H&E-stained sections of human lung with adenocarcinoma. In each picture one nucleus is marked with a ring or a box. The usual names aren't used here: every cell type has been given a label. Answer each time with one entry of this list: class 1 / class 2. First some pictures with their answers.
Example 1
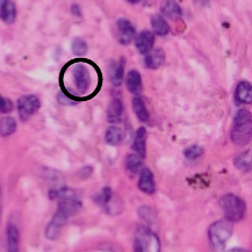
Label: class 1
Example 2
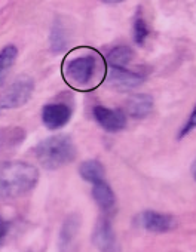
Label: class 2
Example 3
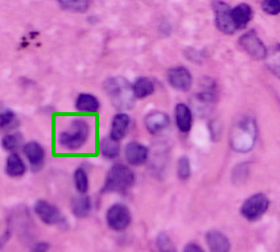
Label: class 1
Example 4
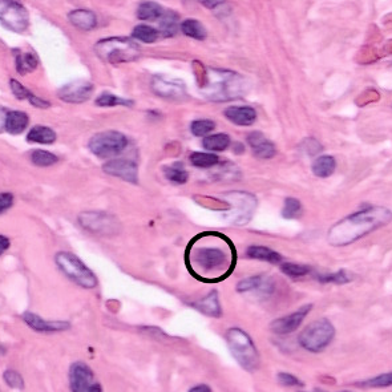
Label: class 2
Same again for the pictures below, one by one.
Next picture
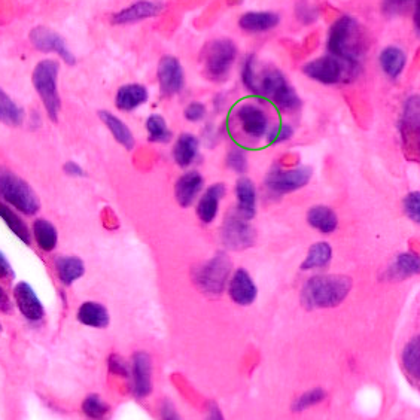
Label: class 2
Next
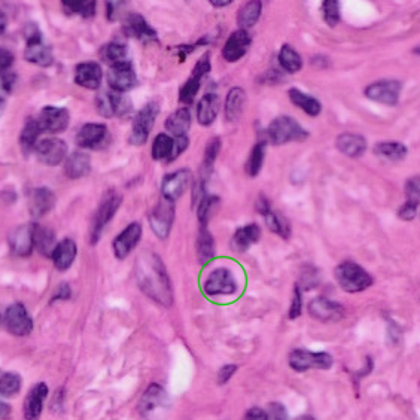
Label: class 1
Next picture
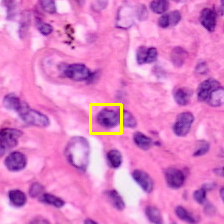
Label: class 1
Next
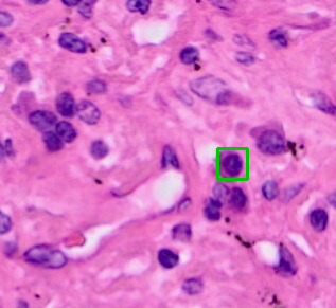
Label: class 2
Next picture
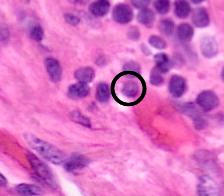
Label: class 1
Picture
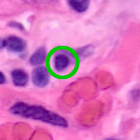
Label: class 1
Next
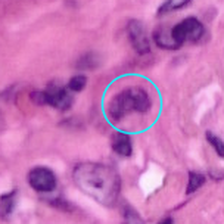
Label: class 2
